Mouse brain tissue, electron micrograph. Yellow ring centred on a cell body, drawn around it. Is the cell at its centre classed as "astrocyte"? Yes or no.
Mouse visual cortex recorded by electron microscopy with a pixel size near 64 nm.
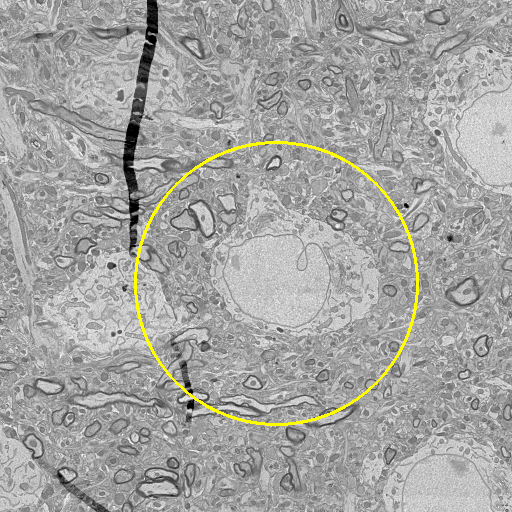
No, it is classed as another kind.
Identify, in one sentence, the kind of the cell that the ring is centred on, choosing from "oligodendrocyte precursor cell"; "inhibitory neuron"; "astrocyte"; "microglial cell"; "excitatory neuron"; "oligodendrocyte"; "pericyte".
The cell that the ring is centred on is an excitatory neuron.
